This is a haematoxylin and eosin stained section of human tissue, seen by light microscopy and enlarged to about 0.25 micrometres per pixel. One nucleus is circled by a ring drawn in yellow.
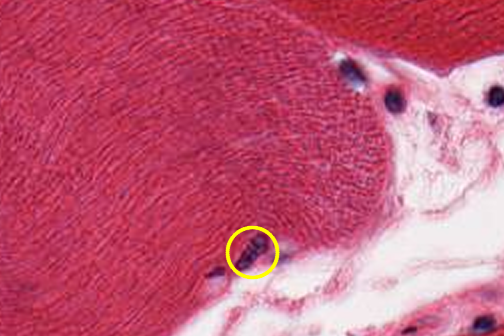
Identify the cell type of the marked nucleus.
skeletal muscle fibre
